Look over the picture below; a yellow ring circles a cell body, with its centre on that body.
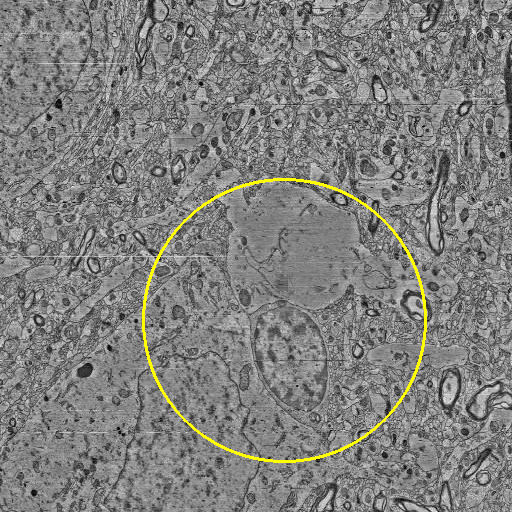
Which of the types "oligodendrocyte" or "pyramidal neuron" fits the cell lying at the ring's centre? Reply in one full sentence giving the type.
The picture shows an oligodendrocyte at the centre of the yellow ring.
